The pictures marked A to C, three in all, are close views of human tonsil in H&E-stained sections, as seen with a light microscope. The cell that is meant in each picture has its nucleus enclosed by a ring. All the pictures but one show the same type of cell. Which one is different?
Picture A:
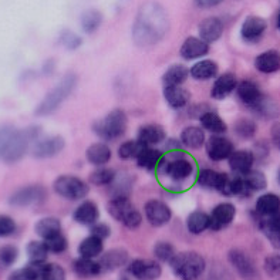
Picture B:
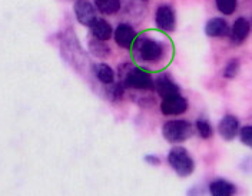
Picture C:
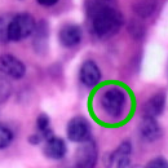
C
